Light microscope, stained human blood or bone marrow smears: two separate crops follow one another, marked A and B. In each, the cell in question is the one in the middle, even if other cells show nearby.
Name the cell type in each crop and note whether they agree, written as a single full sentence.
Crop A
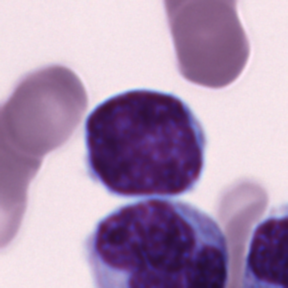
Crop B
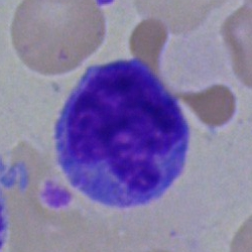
Yes, monocytes are at the centre in both crops.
